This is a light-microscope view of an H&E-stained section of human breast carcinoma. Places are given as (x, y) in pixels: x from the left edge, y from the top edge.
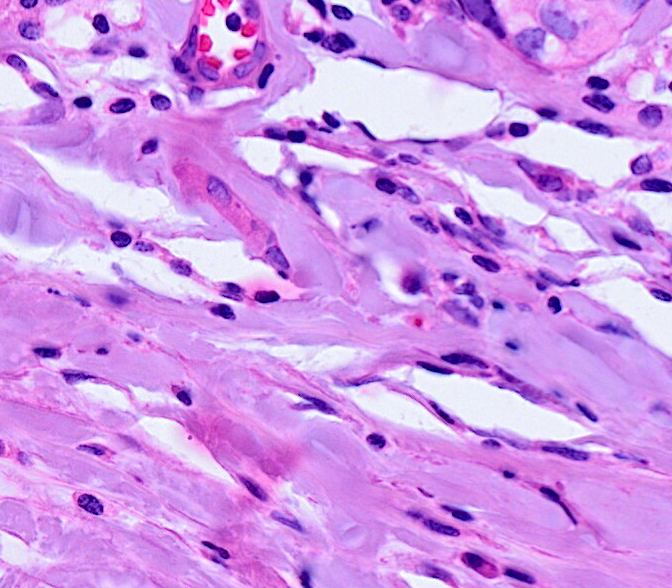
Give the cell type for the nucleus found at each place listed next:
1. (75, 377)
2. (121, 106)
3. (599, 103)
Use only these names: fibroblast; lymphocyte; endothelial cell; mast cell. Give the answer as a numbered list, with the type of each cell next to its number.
1. fibroblast
2. lymphocyte
3. lymphocyte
